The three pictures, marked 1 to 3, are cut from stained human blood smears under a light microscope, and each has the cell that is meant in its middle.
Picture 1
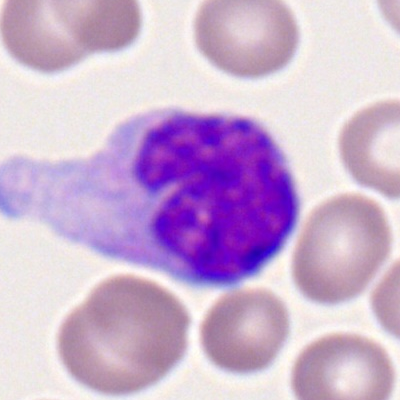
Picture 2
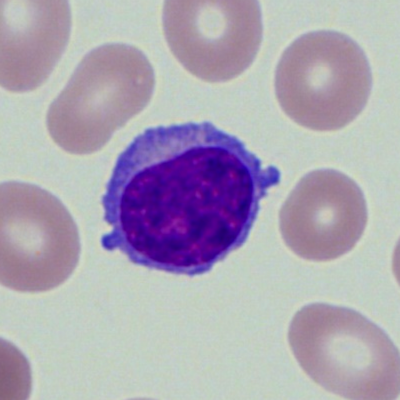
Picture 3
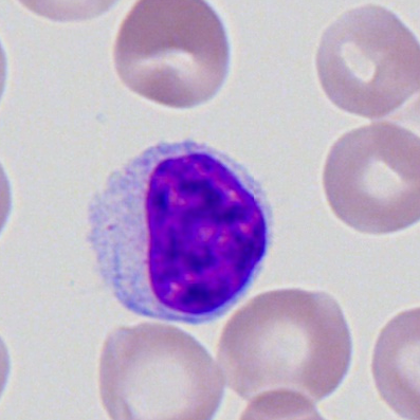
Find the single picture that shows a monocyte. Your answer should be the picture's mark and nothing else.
1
